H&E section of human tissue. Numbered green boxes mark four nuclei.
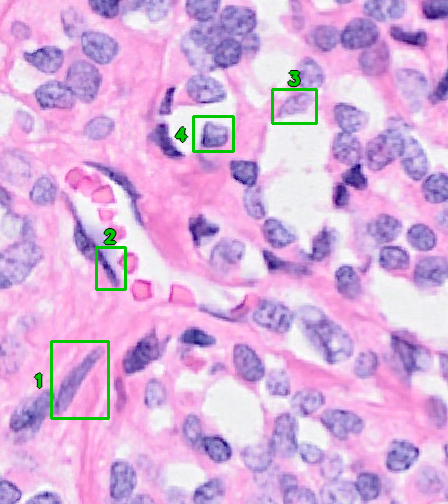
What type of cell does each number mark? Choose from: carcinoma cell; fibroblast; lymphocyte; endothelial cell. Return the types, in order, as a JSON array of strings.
["endothelial cell", "endothelial cell", "carcinoma cell", "carcinoma cell"]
